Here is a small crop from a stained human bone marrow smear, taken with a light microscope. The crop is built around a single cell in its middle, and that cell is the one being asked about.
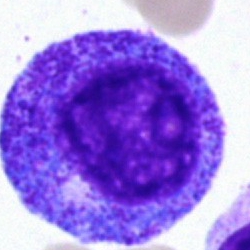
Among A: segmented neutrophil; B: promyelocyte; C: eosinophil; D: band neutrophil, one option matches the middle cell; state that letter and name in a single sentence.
Option B is correct, naming the cell in the middle as a promyelocyte.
